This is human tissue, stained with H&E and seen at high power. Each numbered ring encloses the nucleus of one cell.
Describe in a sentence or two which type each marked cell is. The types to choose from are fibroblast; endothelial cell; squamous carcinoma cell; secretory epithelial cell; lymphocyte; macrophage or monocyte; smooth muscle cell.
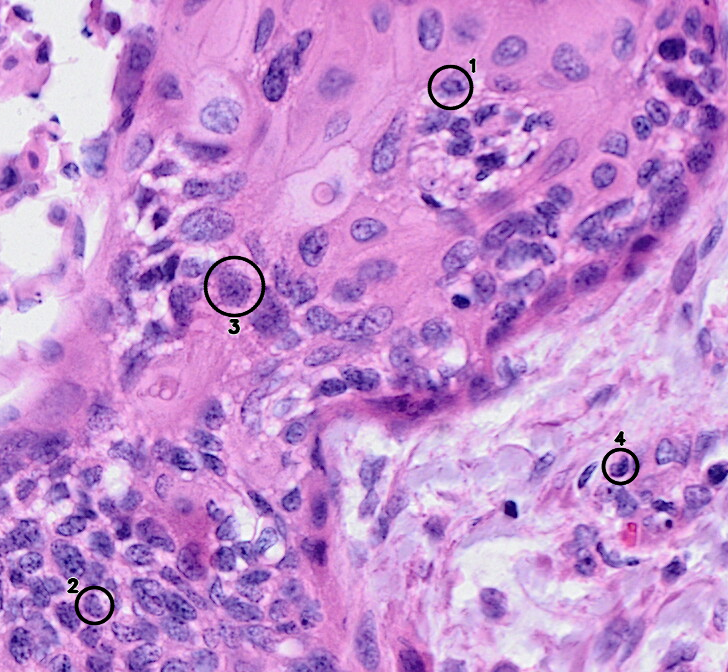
Cells 1, 2 and 3 are squamous carcinoma cells. Cell 4 is a lymphocyte.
